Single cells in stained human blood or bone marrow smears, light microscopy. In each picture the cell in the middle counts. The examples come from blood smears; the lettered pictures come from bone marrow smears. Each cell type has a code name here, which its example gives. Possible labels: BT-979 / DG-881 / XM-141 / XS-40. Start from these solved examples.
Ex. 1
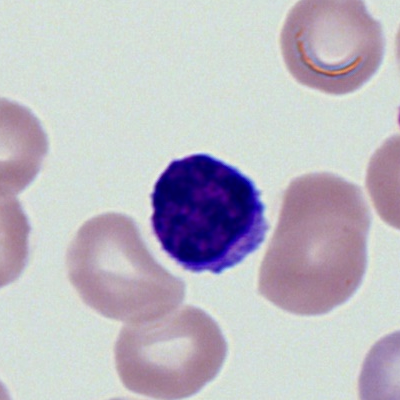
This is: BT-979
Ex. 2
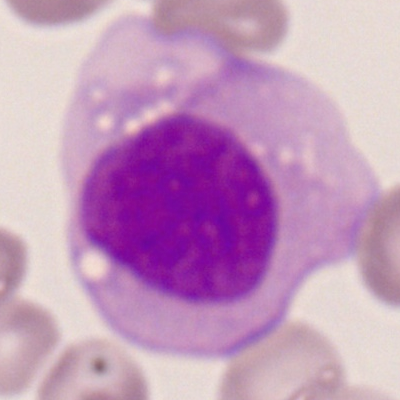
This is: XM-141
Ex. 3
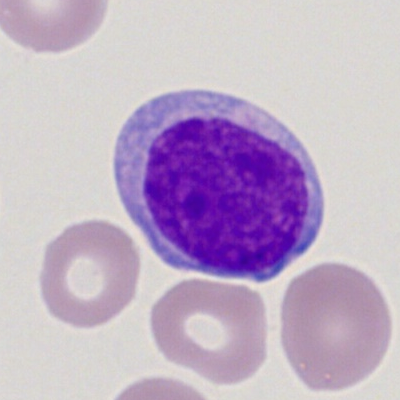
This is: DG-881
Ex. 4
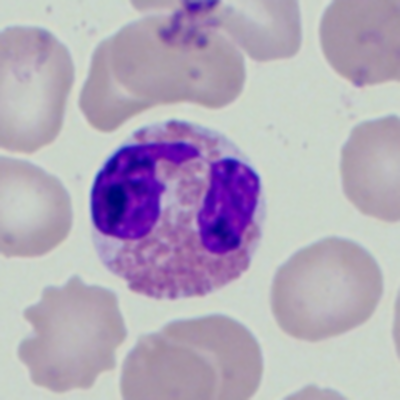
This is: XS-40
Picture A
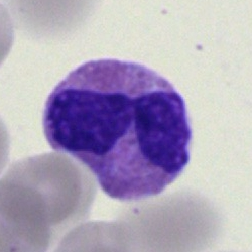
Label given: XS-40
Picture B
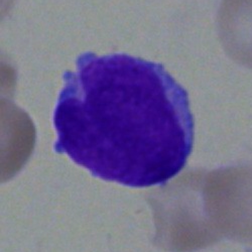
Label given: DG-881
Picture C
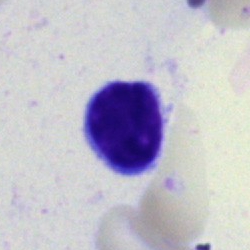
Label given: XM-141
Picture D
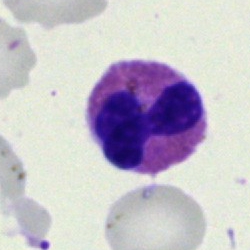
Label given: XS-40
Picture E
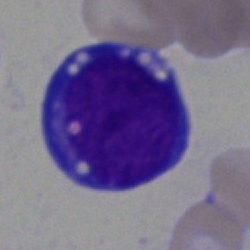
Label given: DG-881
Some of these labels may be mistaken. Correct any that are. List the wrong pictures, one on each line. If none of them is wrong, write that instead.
C: BT-979, not XM-141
